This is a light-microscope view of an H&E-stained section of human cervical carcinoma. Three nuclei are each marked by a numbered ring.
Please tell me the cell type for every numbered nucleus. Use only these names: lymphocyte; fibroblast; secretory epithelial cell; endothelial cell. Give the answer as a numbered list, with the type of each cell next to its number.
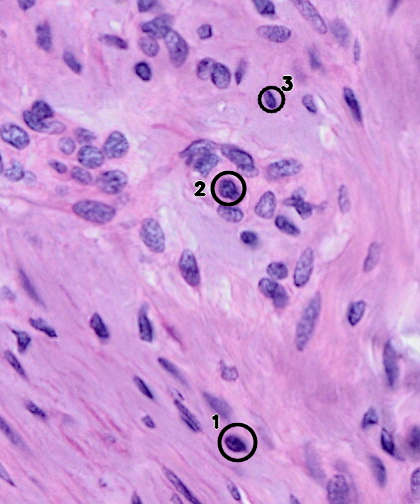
1. lymphocyte
2. endothelial cell
3. fibroblast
